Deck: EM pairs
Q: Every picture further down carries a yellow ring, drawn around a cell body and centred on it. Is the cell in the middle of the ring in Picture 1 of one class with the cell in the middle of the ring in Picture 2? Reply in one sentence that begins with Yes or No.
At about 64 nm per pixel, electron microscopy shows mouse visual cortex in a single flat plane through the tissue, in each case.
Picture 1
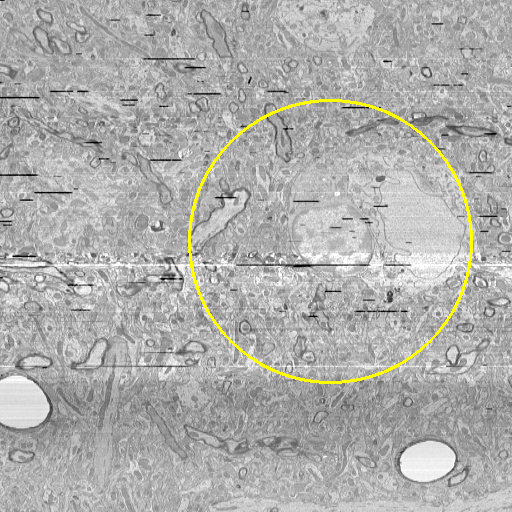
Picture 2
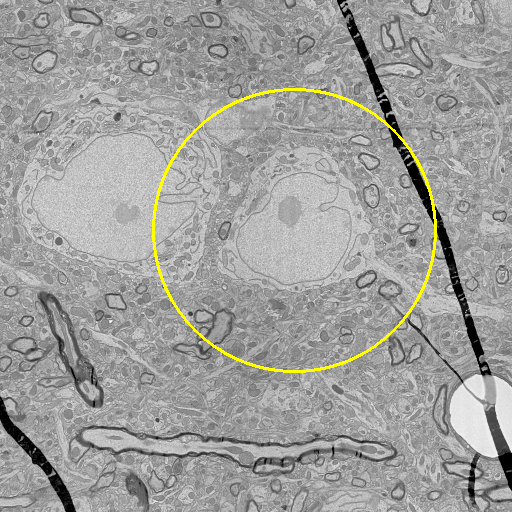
No, the cell centred in the ring of Picture 1 and the one in Picture 2 belong to separate classes.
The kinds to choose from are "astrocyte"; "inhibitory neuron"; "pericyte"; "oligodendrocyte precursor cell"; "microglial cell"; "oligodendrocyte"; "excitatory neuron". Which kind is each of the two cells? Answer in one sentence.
Of the two, the first cell is an oligodendrocyte and the second cell is an excitatory neuron.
